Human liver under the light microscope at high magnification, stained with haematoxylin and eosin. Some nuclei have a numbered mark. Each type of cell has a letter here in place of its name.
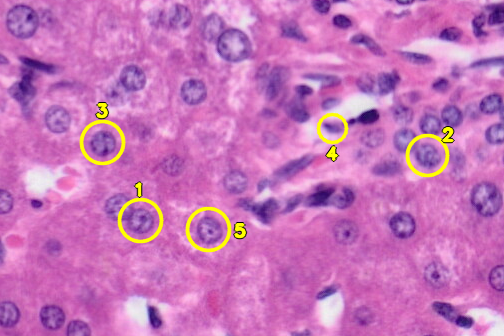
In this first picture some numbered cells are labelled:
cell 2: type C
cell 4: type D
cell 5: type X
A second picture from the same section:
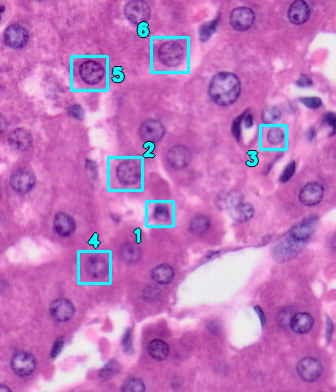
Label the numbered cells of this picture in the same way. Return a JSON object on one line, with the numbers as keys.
{"1": "type D", "2": "type X", "3": "type C", "4": "type X", "5": "type X", "6": "type X"}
